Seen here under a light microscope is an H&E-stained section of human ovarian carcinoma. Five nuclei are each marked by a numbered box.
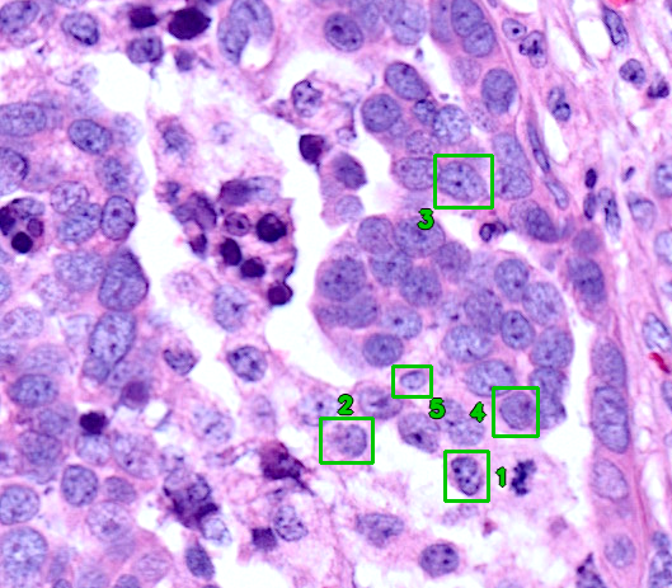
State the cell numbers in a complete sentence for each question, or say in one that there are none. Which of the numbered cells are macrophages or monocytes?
Within the section, cells numbered 1, 2 and 5 are macrophages or monocytes.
